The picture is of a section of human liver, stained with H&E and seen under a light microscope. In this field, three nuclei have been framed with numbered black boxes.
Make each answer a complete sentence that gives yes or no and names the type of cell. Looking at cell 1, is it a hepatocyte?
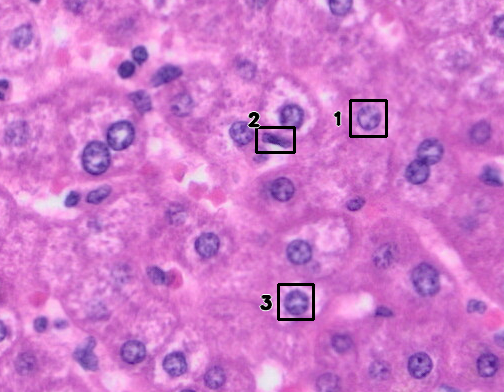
Yes, the cell with the mark numbered 1 is a hepatocyte.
